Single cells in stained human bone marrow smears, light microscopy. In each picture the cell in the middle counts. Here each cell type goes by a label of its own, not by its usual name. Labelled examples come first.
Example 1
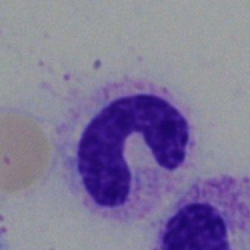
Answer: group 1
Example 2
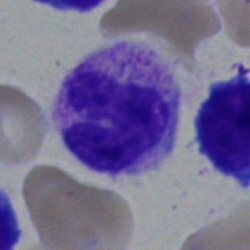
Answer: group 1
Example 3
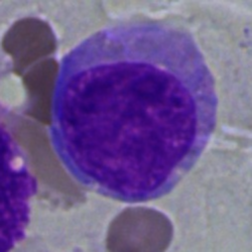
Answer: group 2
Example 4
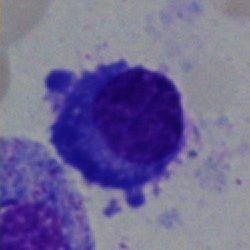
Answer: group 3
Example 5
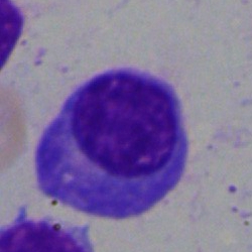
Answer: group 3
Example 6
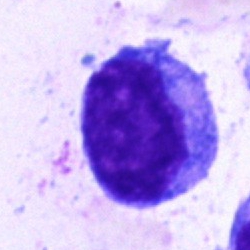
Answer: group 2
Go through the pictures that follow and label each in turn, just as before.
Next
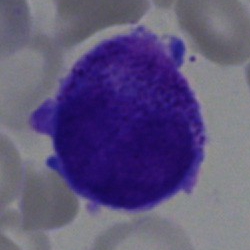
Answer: group 2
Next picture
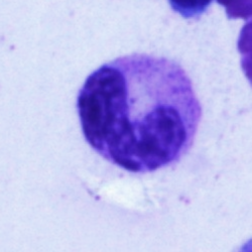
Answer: group 1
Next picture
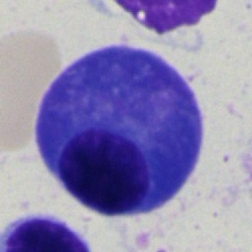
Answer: group 3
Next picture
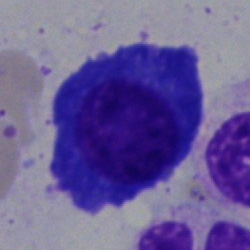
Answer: group 3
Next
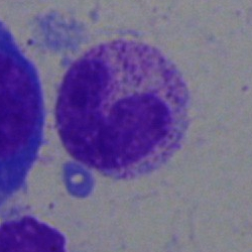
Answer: group 1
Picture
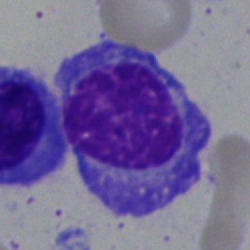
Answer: group 3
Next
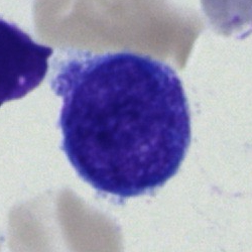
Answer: group 2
